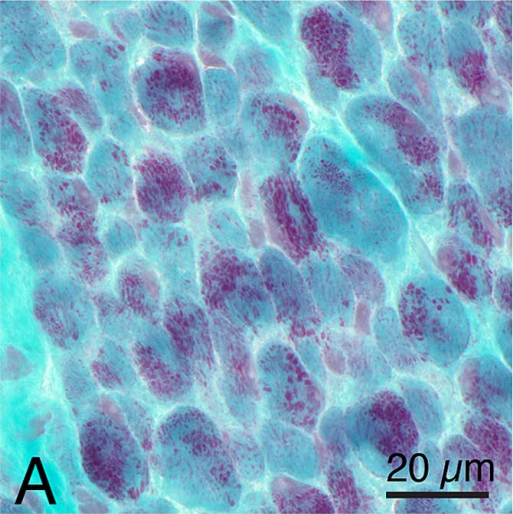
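These are skeletal muscle fibers cut in cross-section, stained blue-green, with many of them containing clusters of small purple-red granules, the nemaline rods. The granules gather in patches, sometimes under the fiber edge, sometimes filling much of the fiber's interior. Fibers vary noticeably in size, small ones lying between larger, rounded ones, so the fiber size variability is increased. Thin pale connective tissue separates the fibers. Not every fiber is equally affected; some show only a few granules while others are densely packed with them.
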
